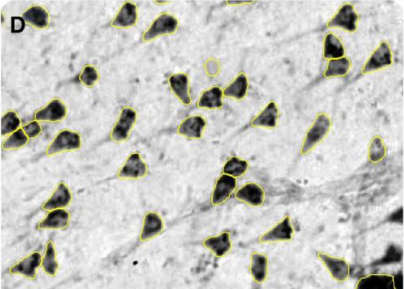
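Scattered, densely dark somata lie in a pale neuropil; most are triangular or teardrop shaped and taper into a thick process, and the processes run roughly parallel, giving the field a common orientation. Faint grey fibre-like streaks cross the background obliquely.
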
